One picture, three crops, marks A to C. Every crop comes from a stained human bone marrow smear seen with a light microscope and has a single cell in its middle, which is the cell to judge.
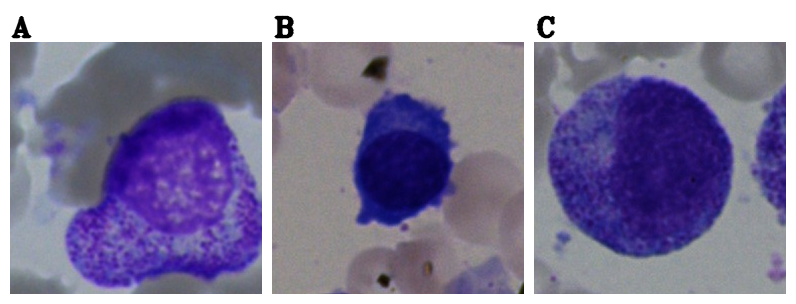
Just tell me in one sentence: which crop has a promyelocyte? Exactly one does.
The crop showing a promyelocyte in this series is crop C.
